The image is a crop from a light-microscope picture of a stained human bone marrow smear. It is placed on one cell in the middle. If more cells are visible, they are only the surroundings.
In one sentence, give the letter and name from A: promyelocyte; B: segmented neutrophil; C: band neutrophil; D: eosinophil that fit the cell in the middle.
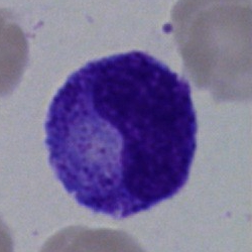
The correct option is A, as the central cell is a promyelocyte.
